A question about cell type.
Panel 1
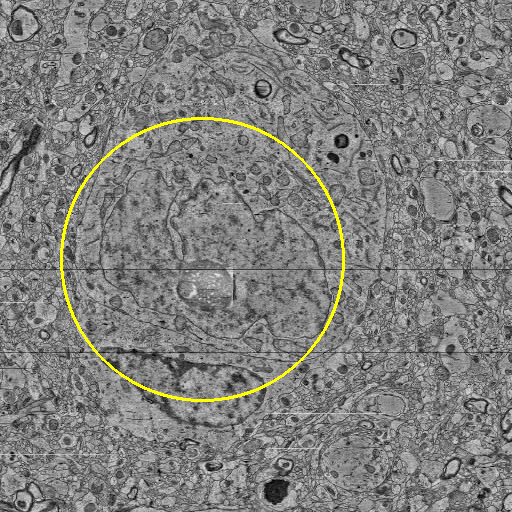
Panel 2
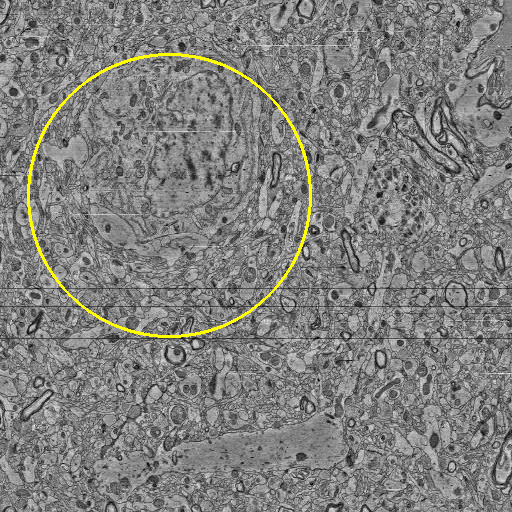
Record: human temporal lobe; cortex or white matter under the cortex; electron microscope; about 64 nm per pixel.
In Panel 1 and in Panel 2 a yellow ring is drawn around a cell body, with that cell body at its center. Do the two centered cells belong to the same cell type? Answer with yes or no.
yes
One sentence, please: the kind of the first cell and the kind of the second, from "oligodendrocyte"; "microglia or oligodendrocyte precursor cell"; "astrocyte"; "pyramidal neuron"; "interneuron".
Each one of the two ringed cells is an interneuron.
